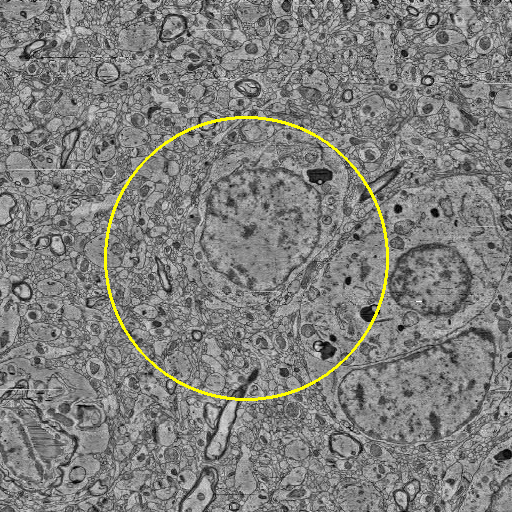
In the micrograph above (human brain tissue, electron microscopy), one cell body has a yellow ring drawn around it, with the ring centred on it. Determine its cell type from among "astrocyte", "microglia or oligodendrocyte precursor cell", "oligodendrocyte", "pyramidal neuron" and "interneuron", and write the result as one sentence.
The cell whose body is ringed is an interneuron.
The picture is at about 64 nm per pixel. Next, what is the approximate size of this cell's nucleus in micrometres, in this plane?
The nucleus measures about 8 micrometers across in this plane.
